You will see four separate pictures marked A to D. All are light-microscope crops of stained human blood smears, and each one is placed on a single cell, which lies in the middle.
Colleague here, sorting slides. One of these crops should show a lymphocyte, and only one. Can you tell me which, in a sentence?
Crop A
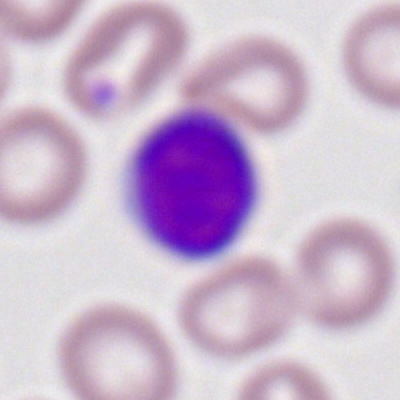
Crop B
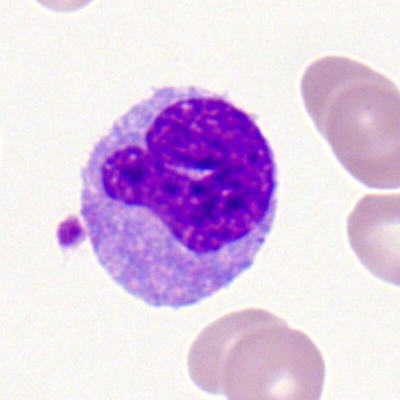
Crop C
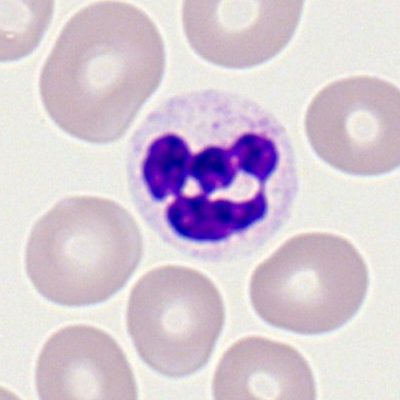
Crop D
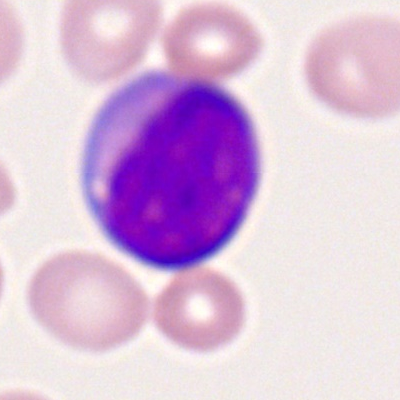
Among all the crops given here, the one with a lymphocyte is crop A.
